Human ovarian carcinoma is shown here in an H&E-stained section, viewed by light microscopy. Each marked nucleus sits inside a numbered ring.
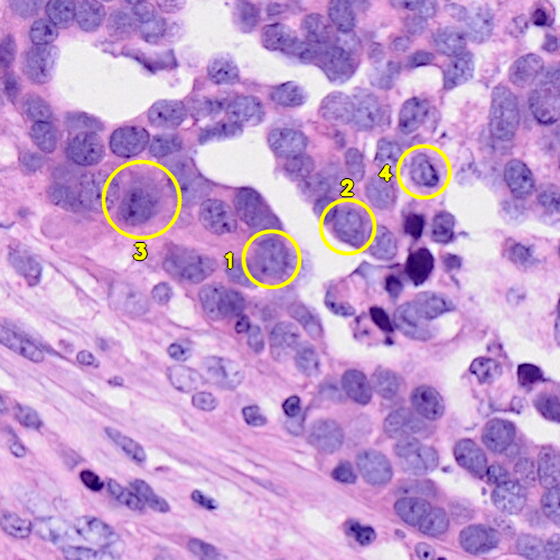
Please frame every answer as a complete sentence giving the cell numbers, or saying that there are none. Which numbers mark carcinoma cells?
Identification: the cells with numbers 1, 2 and 3 are carcinoma cells.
